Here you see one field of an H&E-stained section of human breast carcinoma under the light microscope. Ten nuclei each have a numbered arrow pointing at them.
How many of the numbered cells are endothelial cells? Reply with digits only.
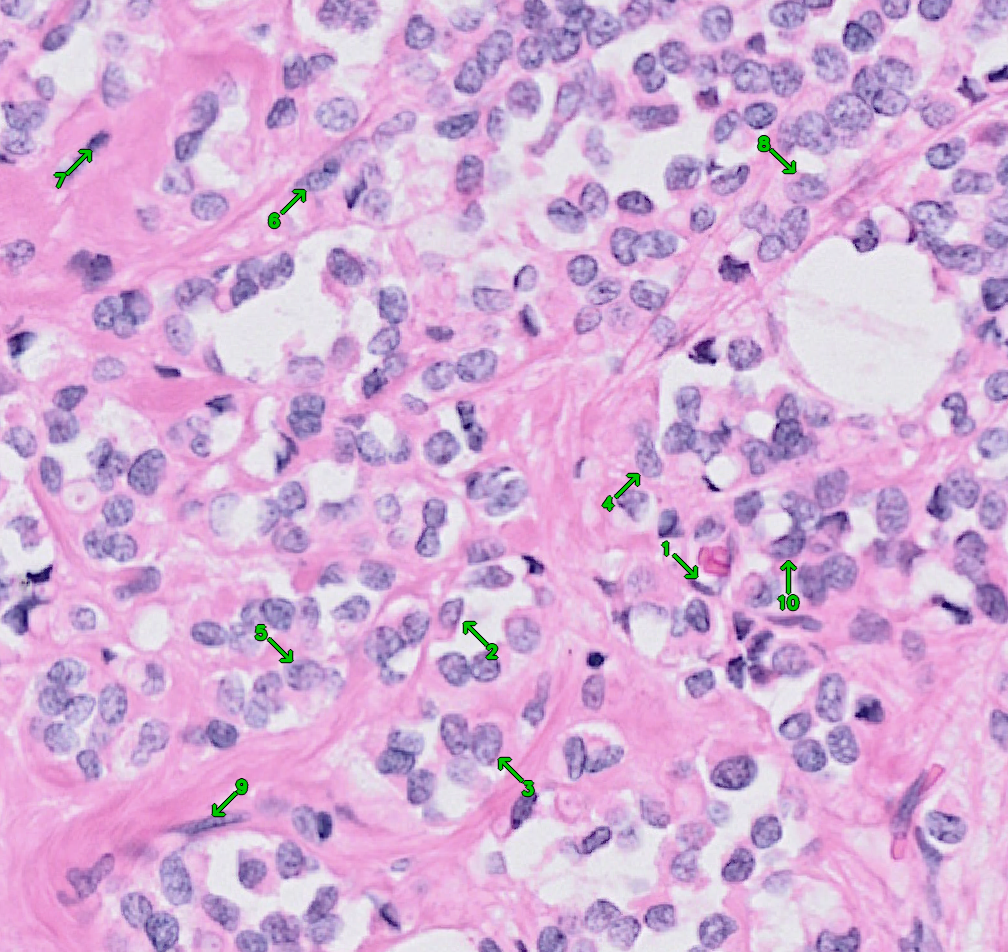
4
